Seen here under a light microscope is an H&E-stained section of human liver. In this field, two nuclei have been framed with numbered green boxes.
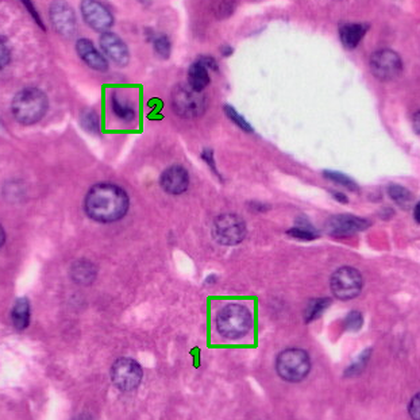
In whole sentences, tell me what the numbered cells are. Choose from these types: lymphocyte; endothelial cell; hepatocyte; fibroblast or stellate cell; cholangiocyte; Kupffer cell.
Cell 1 is a hepatocyte. Cell 2 is a fibroblast or stellate cell.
